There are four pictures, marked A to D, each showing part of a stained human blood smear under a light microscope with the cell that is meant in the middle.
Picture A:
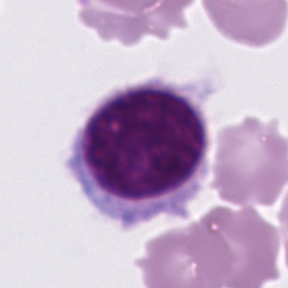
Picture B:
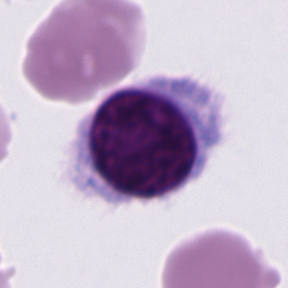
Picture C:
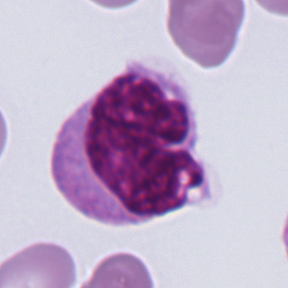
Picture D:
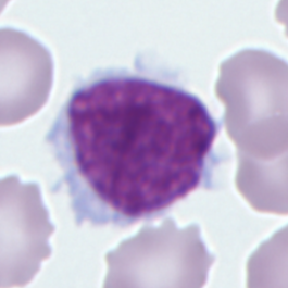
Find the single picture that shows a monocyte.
C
